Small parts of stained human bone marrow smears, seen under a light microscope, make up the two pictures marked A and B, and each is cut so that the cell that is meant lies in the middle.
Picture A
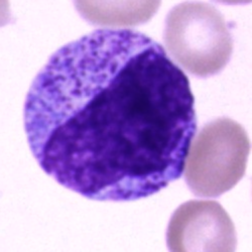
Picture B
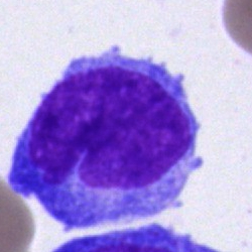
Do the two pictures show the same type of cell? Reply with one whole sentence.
No, they differ: the cell is a promyelocyte in picture A and a blast in picture B.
